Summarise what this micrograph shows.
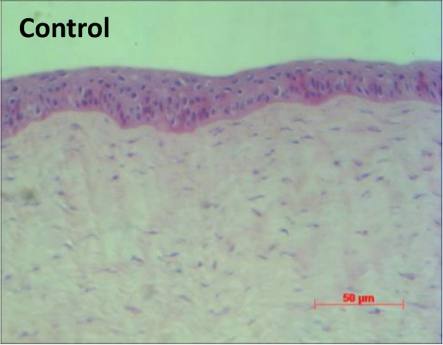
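A section of cornea shows a stratified surface epithelium resting on a thick stroma. The epithelium forms a continuous pink band several cell rows deep, with closely packed cells whose dark purple nuclei are rounder in the deeper rows and flatter toward the surface. Its lower border undulates gently over the stroma. The stroma beneath is pale pink and fairly homogeneous, containing scattered thin, spindle-shaped purple nuclei of keratocytes lying roughly parallel to the surface. Few clefts interrupt the stromal matrix, and no inflammatory cell clusters are evident.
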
